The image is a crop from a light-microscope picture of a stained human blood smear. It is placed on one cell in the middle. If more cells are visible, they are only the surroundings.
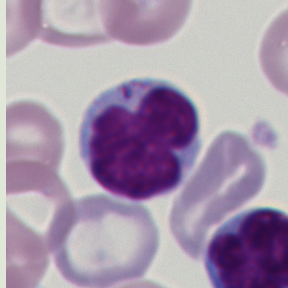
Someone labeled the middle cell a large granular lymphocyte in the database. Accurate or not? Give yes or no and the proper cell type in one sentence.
Yes, this crop has a large granular lymphocyte at its centre.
